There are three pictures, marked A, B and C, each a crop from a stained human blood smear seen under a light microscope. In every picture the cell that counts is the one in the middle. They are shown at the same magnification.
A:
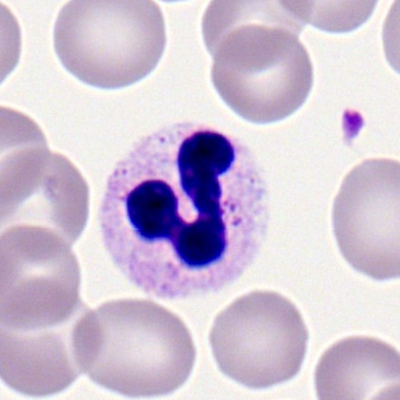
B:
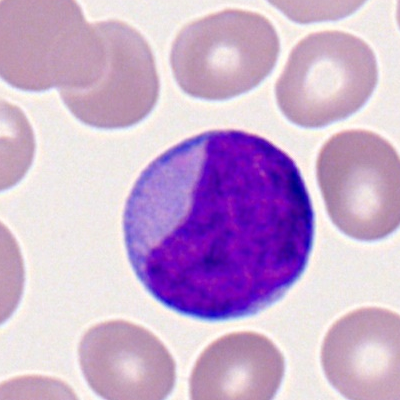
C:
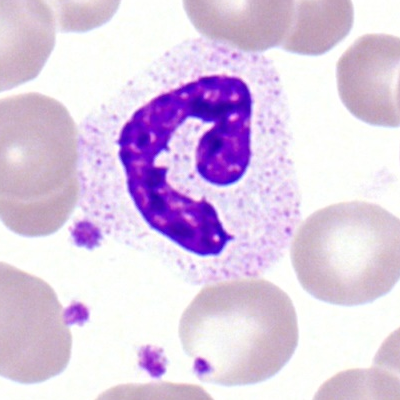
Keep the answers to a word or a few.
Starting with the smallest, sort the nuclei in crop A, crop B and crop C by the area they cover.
A, C, B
